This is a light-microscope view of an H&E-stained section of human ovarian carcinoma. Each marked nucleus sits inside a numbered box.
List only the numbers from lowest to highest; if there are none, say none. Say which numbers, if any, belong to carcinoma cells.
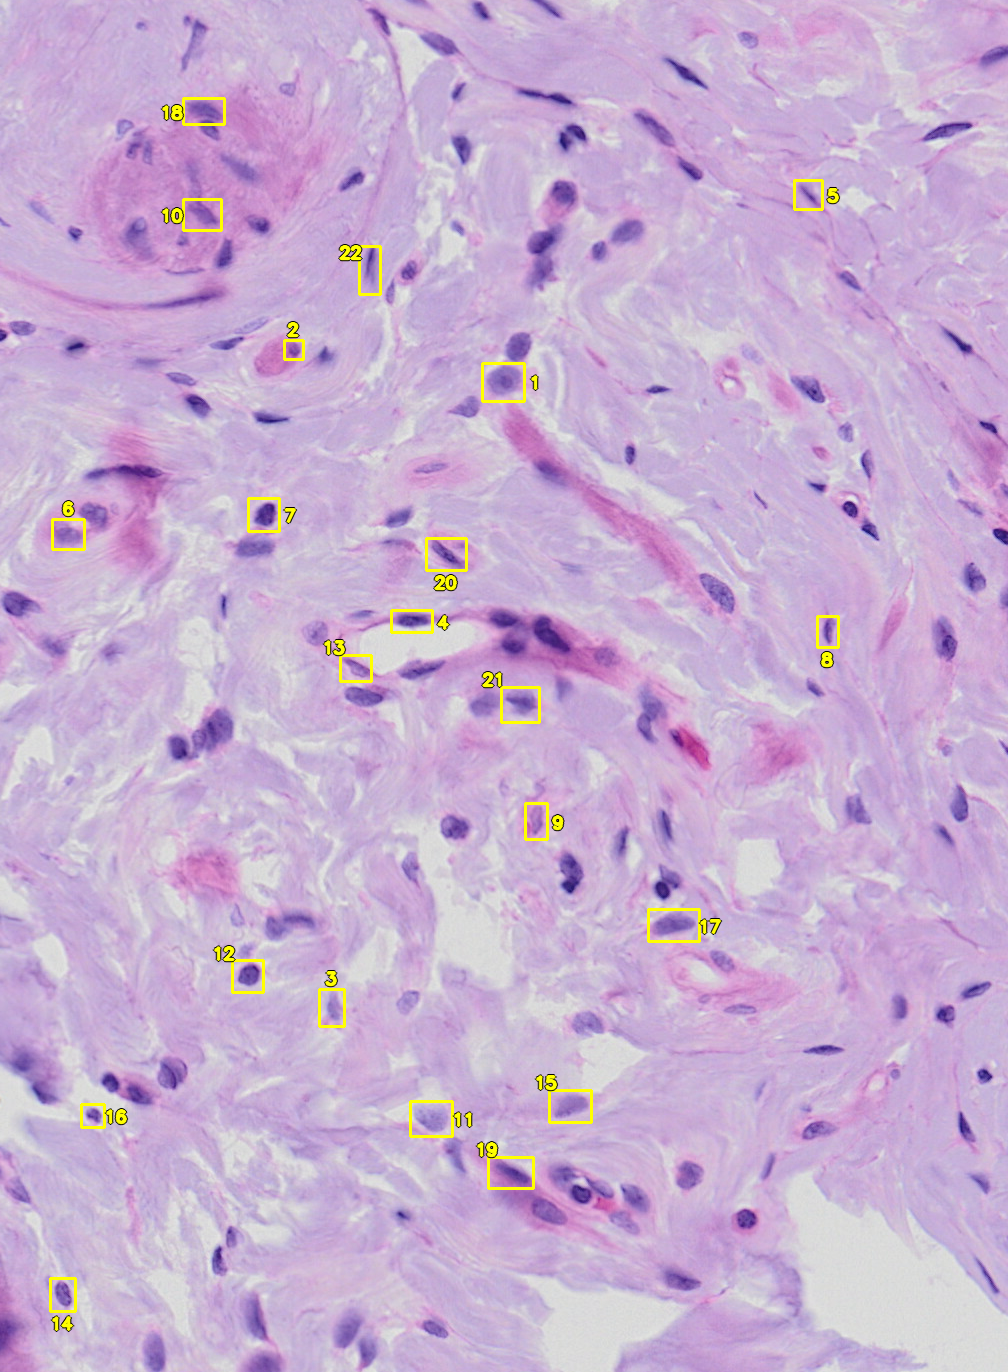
none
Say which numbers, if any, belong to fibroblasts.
1, 3, 5, 8, 11, 15, 17, 21, 22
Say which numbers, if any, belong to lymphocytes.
7, 12, 14, 16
